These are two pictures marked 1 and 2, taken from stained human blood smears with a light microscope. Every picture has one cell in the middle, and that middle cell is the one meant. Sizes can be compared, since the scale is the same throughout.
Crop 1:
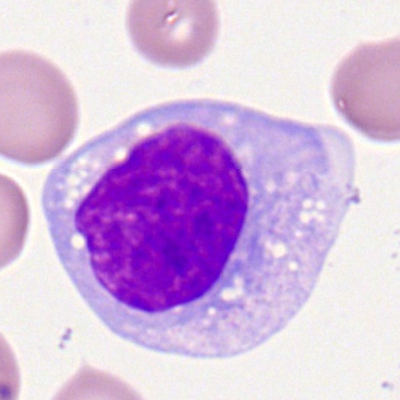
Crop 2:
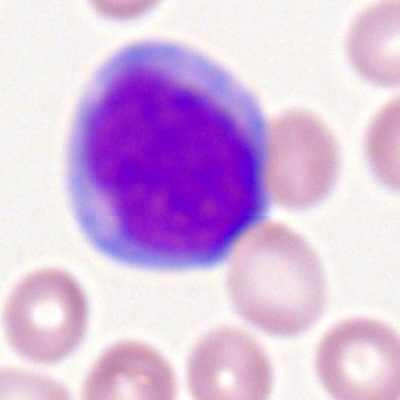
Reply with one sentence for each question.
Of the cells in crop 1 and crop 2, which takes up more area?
The cell in crop 1 is larger, with about 1.5 times the area of the one in crop 2.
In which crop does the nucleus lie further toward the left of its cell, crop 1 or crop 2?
It is the nucleus in crop 1 that lies further toward the left of its cell.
